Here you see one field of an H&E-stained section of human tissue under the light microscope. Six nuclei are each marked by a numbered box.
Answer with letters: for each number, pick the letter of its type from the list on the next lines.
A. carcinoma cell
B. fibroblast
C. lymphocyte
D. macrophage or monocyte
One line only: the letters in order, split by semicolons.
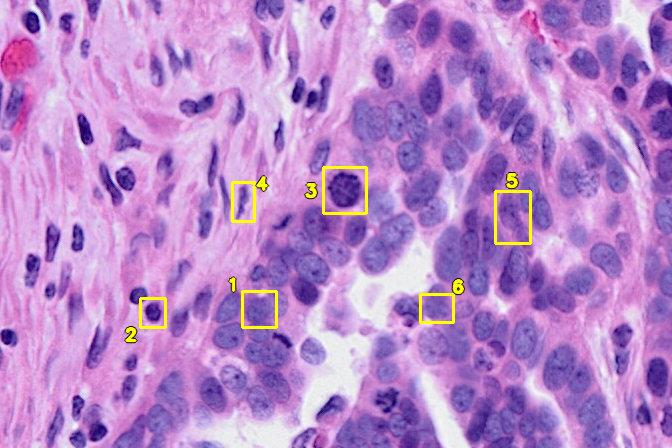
A; C; A; B; A; A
